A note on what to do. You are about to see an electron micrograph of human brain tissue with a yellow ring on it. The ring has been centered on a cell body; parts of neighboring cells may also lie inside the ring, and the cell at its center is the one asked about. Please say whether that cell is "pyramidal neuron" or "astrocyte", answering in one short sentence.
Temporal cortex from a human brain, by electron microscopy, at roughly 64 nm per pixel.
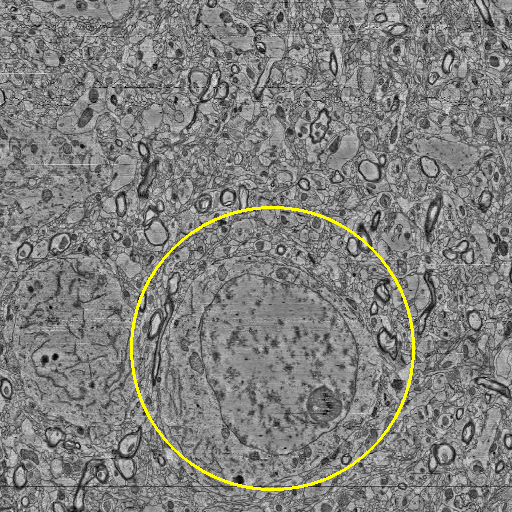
The yellow ring sits on a pyramidal neuron.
